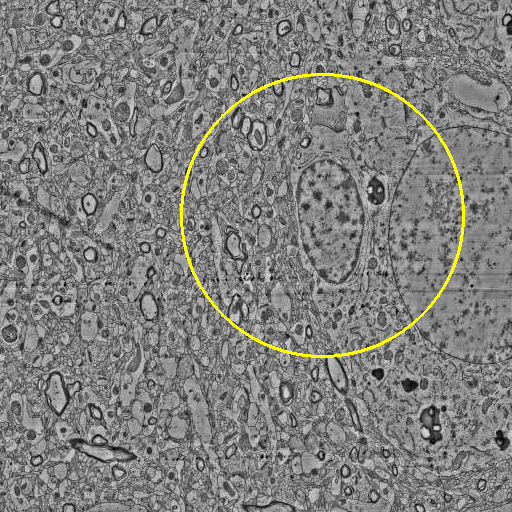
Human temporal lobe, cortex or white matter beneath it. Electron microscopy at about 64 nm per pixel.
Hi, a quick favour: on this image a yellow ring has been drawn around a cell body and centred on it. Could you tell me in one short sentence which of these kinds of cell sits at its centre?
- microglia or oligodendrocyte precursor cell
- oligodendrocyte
The ring is centred on a microglial cell or oligodendrocyte precursor cell.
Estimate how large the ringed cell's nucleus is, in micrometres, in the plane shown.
In this plane the nucleus is clearly longer than it is wide, at approximately 8 by 4 micrometres.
